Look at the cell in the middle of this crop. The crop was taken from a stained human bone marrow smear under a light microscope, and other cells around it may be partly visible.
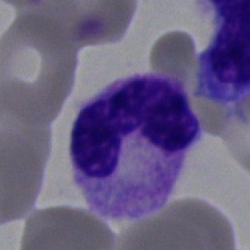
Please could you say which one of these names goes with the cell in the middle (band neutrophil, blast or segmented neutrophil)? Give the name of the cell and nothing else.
band neutrophil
